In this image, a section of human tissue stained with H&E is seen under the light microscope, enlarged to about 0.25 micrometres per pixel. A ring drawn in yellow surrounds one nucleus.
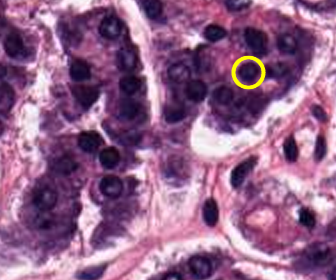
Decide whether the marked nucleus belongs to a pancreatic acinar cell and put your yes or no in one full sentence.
Yes, the cell that houses the marked nucleus is a pancreatic acinar cell.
